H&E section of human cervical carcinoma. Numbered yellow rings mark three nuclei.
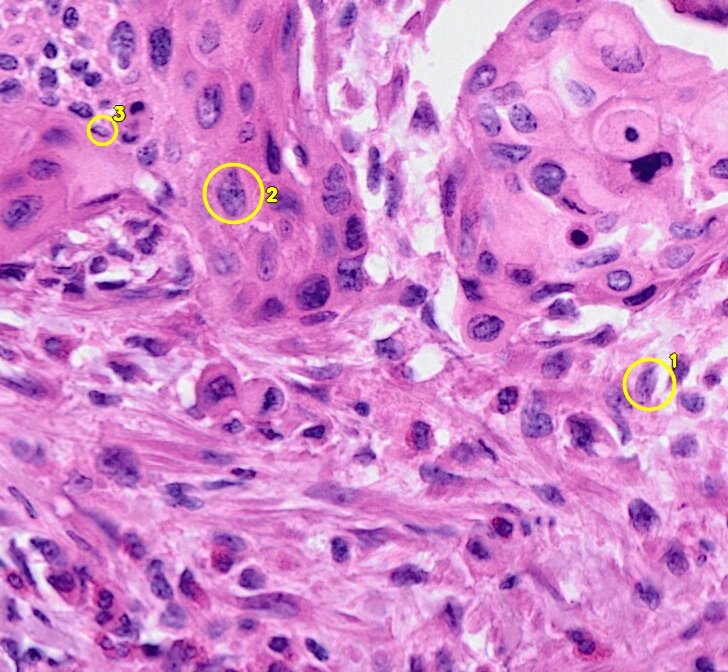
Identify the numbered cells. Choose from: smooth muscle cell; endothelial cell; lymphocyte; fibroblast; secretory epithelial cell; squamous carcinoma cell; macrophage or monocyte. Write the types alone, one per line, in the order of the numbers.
fibroblast
squamous carcinoma cell
squamous carcinoma cell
